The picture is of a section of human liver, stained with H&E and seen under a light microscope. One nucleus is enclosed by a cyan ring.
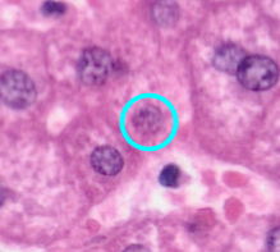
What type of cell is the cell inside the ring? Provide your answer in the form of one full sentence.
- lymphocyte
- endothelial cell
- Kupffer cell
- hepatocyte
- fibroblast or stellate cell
To be brief about it, the cell inside the ring is a hepatocyte.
